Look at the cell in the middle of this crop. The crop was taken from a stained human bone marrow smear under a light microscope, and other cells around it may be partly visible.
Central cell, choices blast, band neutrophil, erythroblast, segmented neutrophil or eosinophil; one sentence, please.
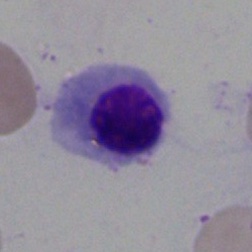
The central cell in this smear crop is an erythroblast.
